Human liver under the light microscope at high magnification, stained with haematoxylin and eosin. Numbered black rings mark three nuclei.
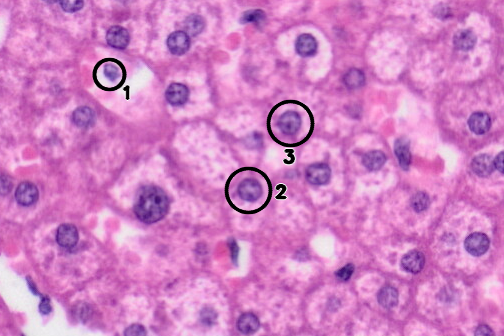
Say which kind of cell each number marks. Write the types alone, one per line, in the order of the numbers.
lymphocyte
hepatocyte
hepatocyte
